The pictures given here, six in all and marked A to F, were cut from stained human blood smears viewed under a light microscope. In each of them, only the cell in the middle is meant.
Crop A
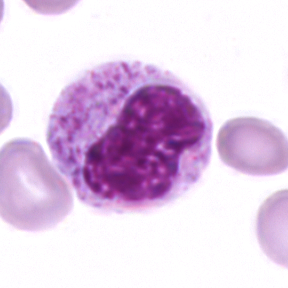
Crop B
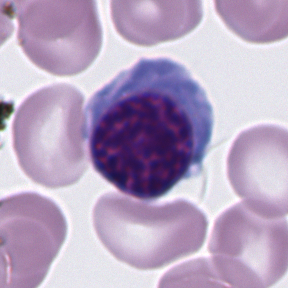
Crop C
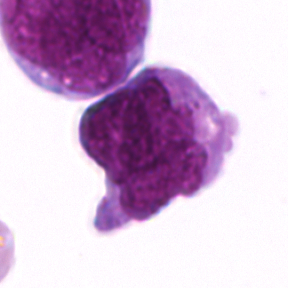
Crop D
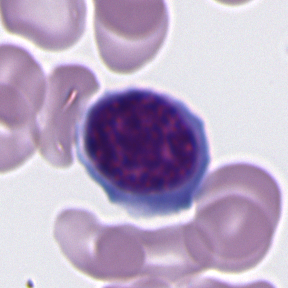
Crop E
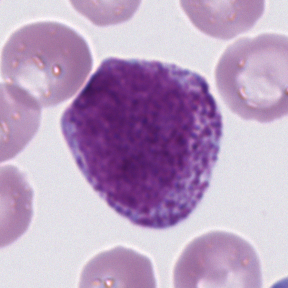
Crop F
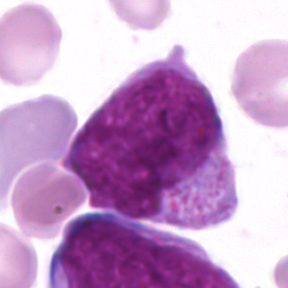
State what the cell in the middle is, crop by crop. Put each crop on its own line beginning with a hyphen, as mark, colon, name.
- A: metamyelocyte
- B: erythroblast
- C: atypical promyelocyte
- D: erythroblast
- E: myelocyte
- F: atypical promyelocyte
